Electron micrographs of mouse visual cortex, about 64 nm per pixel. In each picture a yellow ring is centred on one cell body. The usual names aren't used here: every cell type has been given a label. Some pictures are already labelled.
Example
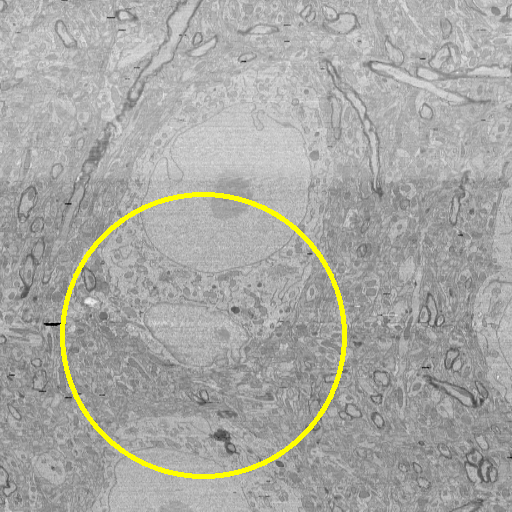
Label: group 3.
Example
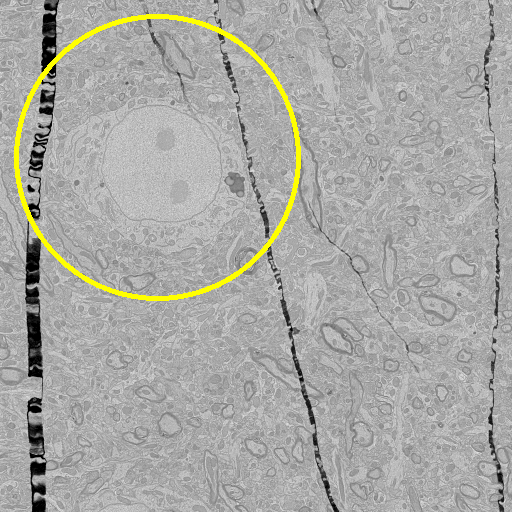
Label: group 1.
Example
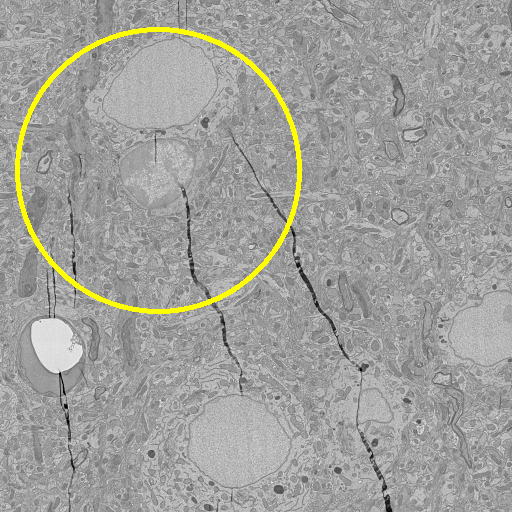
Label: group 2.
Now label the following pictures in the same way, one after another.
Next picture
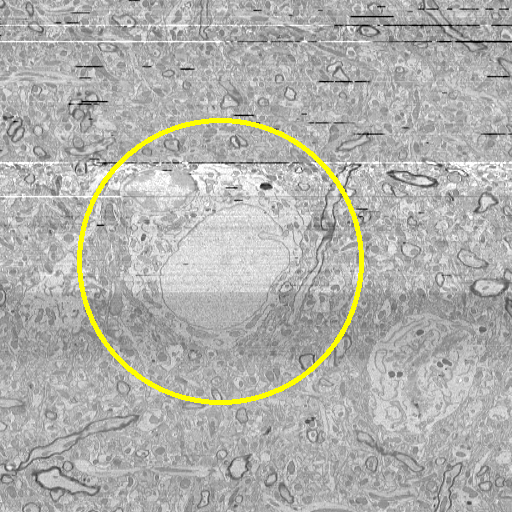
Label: group 1.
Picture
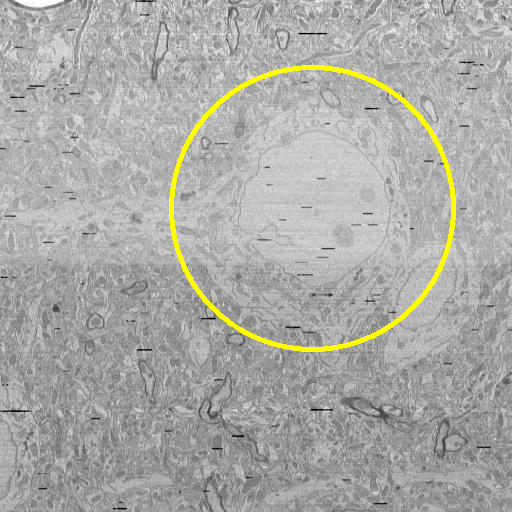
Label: group 1.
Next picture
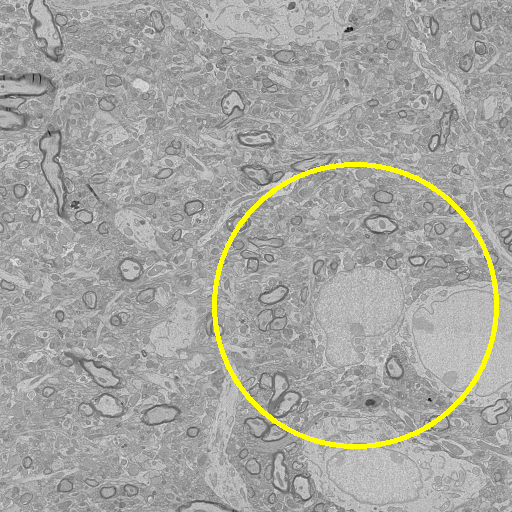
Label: group 3.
